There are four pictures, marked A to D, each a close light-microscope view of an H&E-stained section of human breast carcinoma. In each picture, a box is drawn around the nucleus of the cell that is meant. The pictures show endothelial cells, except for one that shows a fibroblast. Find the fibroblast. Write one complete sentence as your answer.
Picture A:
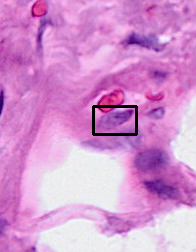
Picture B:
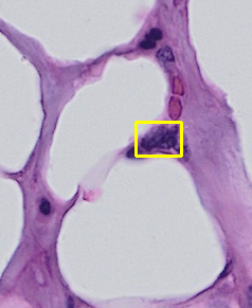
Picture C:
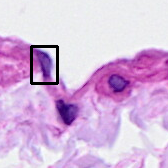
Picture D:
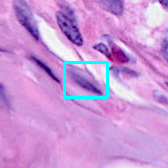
Picture D is the one that shows the fibroblast.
